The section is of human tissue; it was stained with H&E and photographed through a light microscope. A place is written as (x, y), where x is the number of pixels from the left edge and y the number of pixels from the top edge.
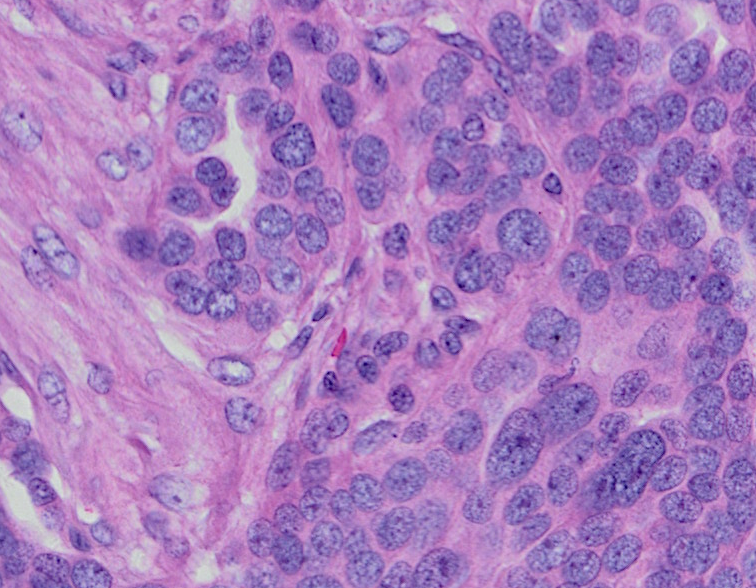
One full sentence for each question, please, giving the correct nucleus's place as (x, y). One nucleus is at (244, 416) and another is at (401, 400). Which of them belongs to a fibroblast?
The nucleus of a fibroblast is the one at (244, 416).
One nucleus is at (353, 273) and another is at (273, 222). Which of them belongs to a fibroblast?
Of the two nuclei, the nucleus of a fibroblast is at (353, 273).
